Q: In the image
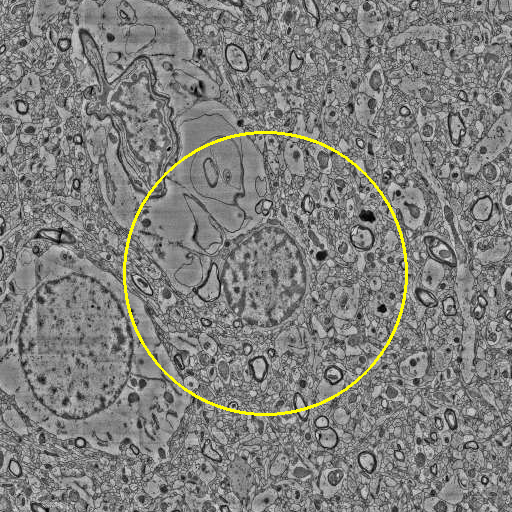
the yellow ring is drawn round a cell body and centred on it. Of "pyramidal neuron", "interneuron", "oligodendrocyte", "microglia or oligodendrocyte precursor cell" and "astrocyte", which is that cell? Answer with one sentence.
The cell centred in the ring is an oligodendrocyte.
